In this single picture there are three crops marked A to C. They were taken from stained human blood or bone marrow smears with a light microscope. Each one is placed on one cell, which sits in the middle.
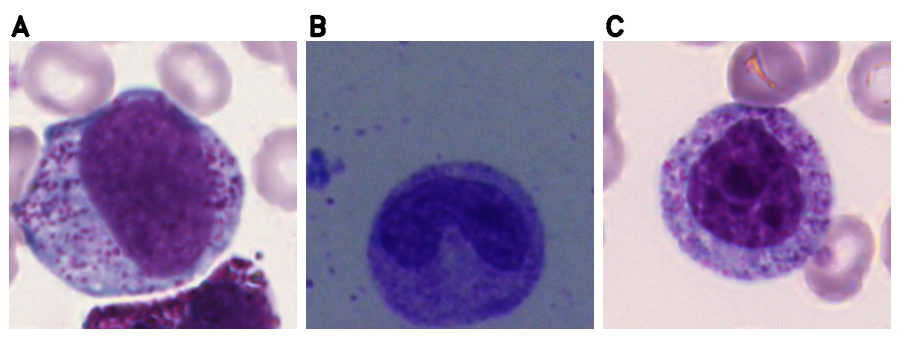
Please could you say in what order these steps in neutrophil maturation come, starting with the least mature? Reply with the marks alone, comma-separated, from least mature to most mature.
A, C, B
